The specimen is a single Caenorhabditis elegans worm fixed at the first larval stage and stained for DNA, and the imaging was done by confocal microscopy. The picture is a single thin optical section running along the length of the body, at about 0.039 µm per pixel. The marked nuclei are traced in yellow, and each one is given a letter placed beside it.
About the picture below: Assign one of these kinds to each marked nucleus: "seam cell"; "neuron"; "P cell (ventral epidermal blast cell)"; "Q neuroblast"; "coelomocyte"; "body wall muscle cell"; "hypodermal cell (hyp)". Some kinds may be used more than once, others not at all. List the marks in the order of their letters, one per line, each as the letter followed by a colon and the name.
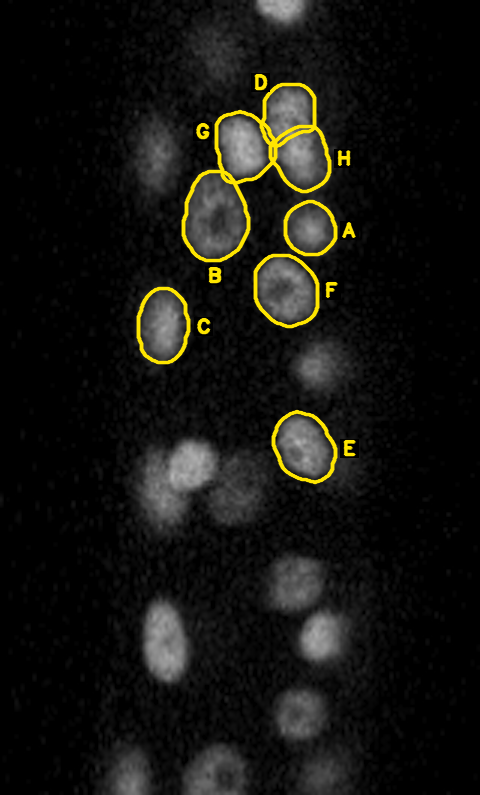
A: coelomocyte
B: hypodermal cell (hyp)
C: body wall muscle cell
D: P cell (ventral epidermal blast cell)
E: P cell (ventral epidermal blast cell)
F: seam cell
G: neuron
H: coelomocyte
